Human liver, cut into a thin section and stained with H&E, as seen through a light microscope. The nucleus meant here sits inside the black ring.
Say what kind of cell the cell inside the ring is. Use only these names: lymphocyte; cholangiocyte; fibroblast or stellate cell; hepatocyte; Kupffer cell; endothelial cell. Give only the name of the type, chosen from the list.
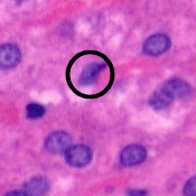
endothelial cell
